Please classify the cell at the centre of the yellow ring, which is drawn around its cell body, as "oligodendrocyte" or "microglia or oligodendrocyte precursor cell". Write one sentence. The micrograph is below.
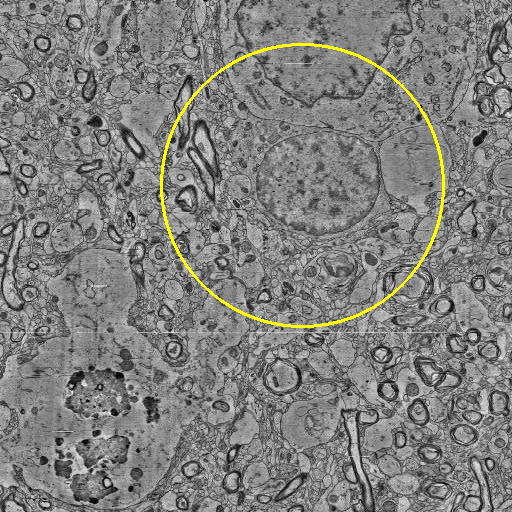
The cell at the ring's centre is classified as an oligodendrocyte.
